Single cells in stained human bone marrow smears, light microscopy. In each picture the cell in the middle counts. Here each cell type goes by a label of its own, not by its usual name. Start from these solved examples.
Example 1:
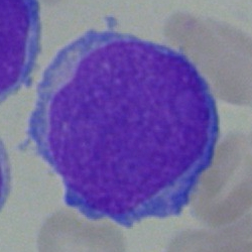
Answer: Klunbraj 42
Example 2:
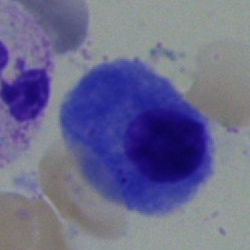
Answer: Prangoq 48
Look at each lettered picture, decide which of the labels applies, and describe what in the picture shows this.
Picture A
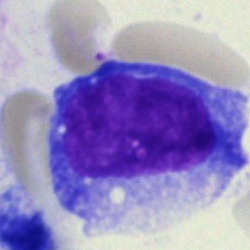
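Answer: Klunbraj 42. The chromatin is finely textured rather than coarsely clumped.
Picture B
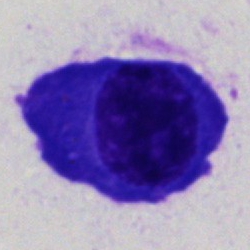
Answer: Prangoq 48. The cytoplasm is abundant and stains a deep blue.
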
